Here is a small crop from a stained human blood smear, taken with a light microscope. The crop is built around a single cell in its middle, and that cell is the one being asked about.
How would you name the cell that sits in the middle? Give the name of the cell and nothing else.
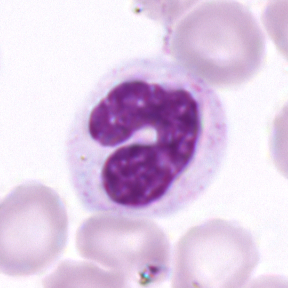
band neutrophil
